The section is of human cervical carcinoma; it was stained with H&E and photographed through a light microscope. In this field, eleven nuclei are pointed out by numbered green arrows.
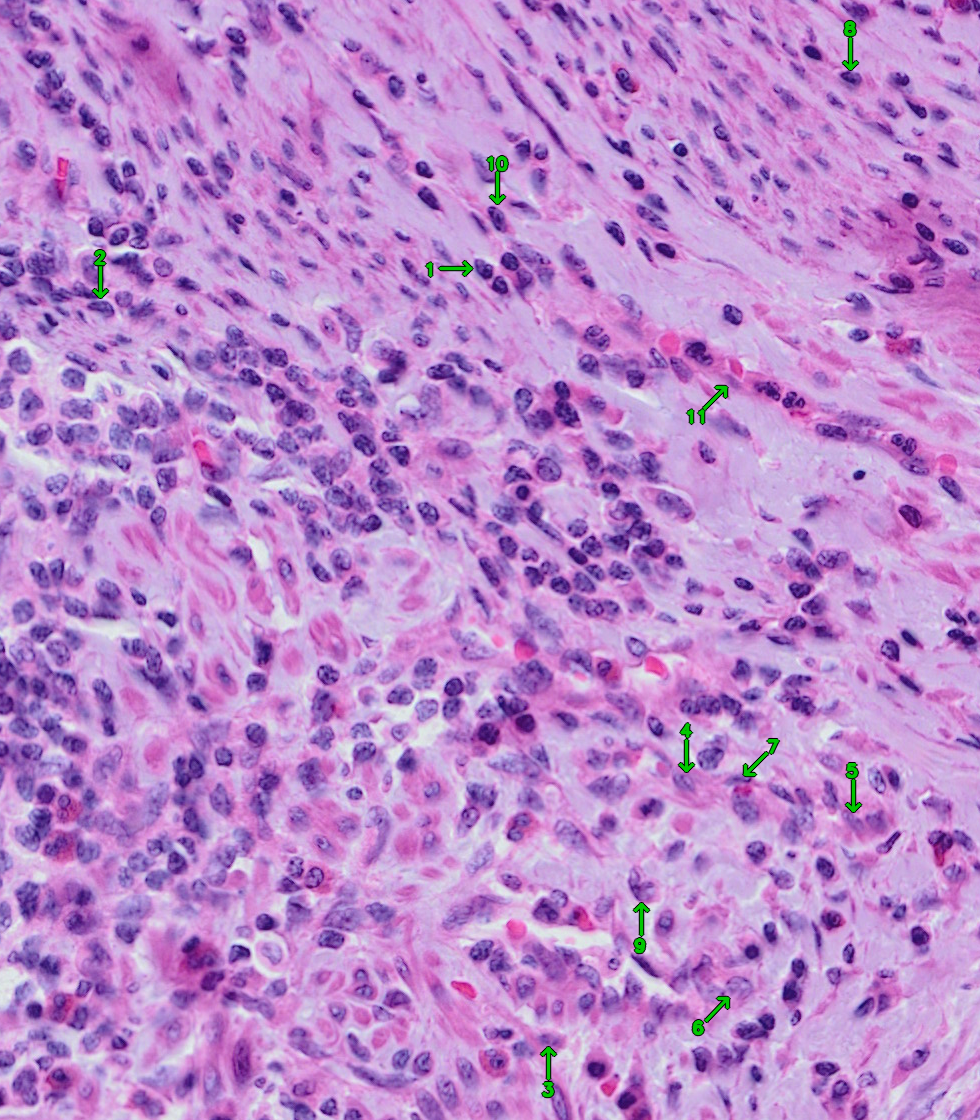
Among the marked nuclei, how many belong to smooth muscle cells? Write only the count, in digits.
0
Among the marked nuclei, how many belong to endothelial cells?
5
